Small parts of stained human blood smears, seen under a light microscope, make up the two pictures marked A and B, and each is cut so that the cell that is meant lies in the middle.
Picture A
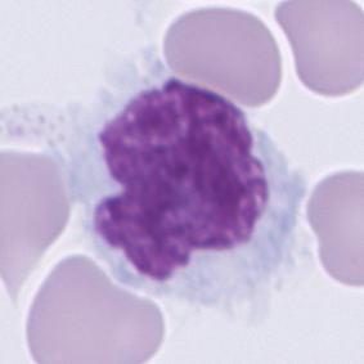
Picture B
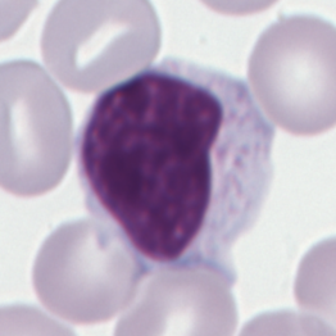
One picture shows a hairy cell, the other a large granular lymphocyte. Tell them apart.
A: hairy cell
B: large granular lymphocyte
